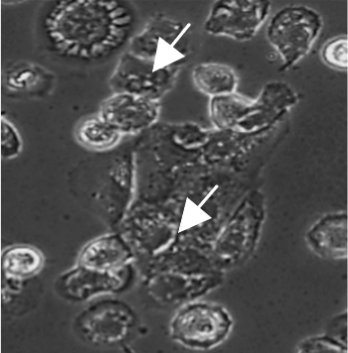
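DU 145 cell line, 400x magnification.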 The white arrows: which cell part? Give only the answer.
Vacuoles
